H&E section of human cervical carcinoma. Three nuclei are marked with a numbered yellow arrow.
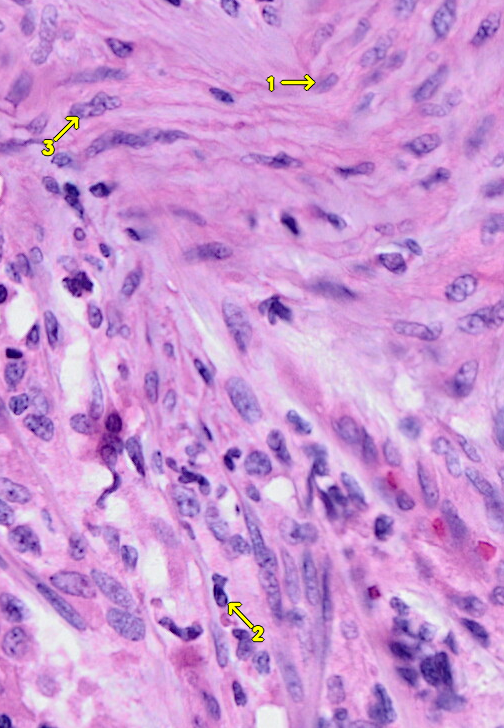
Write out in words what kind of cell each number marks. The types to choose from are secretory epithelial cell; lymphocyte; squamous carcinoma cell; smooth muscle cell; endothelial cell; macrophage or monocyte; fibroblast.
Cells 1 and 3 are smooth muscle cells. Cell 2 is a lymphocyte.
